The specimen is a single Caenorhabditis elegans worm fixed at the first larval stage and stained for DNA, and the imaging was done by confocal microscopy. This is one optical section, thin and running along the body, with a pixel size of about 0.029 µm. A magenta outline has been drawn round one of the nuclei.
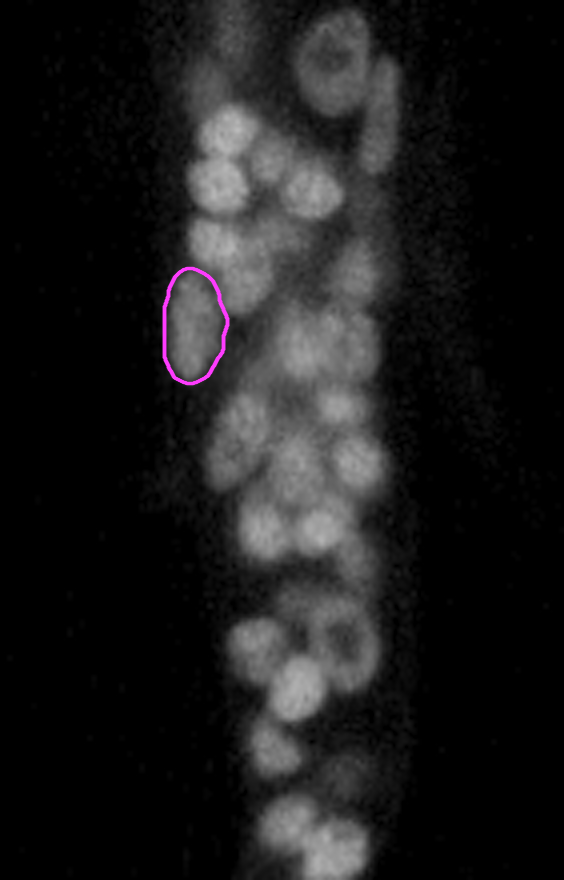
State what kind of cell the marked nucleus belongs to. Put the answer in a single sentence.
The nucleus comes from a rectal epithelial cell.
